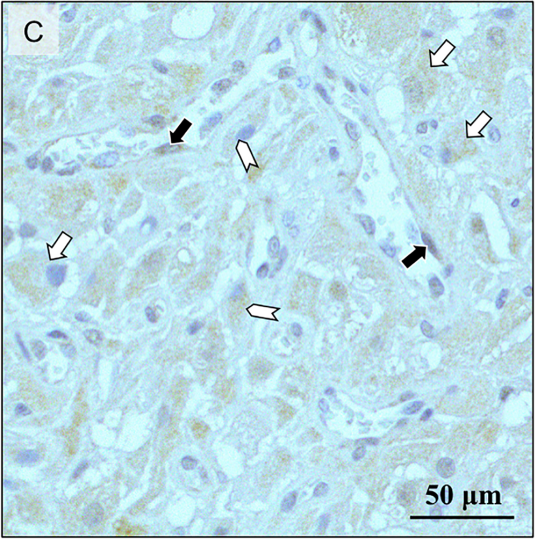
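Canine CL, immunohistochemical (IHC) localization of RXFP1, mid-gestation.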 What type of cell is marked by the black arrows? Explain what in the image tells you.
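Endothelial cells. The marked nuclei are flat and elongated. They line the edge of an open vessel lumen.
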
